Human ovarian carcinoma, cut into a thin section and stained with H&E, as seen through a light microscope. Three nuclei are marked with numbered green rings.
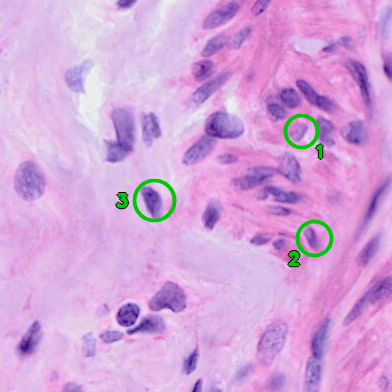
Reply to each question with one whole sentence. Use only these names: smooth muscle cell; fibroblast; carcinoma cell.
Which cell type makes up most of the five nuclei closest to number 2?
Of the five nuclei nearest to number 2, most belong to smooth muscle cells.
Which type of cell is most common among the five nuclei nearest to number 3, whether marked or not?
Of the five nuclei nearest to number 3, most belong to smooth muscle cells.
